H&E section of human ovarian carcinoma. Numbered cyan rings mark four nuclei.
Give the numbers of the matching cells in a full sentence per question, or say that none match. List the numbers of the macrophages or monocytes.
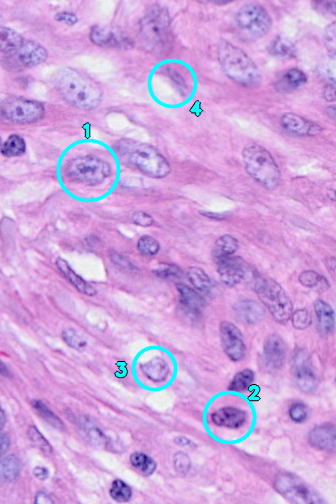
The sole numbered cell that is a macrophage or monocyte is cell 2.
